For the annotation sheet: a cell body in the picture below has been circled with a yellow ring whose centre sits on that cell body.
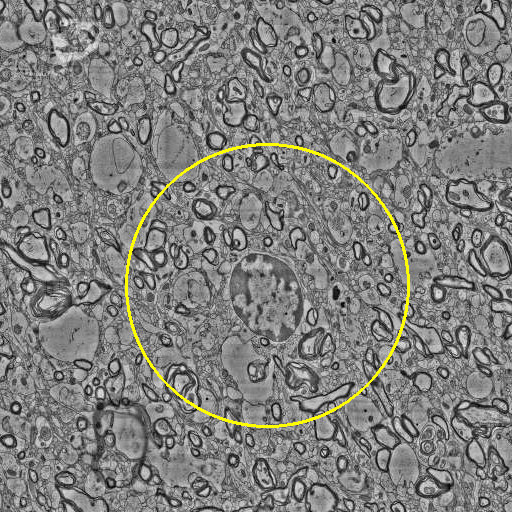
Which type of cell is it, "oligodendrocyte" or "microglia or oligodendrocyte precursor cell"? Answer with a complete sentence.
The circled cell is a microglial cell or oligodendrocyte precursor cell.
